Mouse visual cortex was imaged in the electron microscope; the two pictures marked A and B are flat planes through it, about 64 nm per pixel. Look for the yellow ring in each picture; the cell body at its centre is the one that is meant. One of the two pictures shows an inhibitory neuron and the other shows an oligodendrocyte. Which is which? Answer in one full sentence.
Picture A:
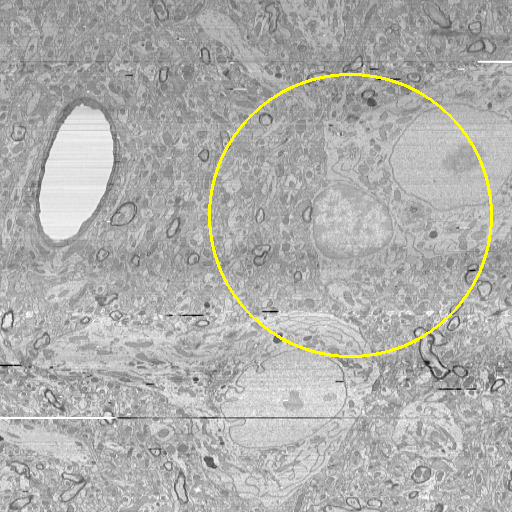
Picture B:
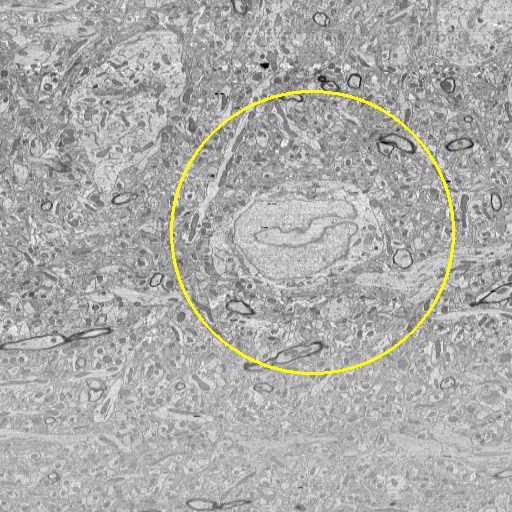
Picture A shows an oligodendrocyte and picture B shows an inhibitory neuron.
